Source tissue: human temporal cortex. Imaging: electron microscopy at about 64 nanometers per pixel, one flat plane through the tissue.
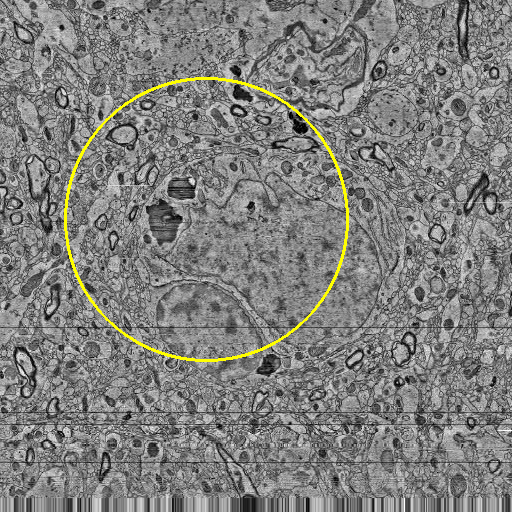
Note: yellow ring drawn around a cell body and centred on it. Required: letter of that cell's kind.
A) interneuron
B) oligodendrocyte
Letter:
A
